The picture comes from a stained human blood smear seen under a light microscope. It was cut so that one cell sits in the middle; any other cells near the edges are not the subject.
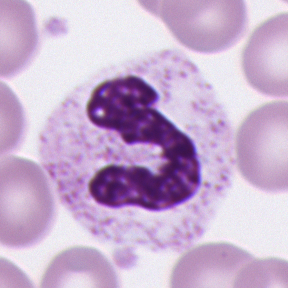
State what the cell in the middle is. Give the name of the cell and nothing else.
neutrophil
